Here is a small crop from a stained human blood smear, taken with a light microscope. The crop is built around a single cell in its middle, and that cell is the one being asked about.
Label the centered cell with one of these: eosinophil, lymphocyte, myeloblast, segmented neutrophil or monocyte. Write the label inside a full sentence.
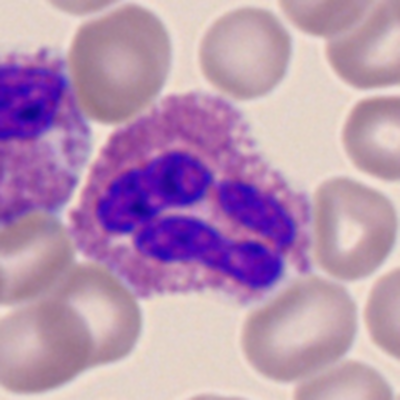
Positioned in the middle of the crop is an eosinophil.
